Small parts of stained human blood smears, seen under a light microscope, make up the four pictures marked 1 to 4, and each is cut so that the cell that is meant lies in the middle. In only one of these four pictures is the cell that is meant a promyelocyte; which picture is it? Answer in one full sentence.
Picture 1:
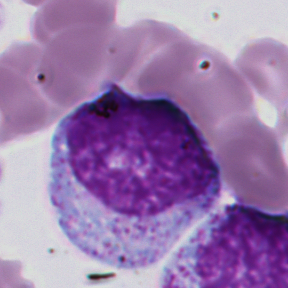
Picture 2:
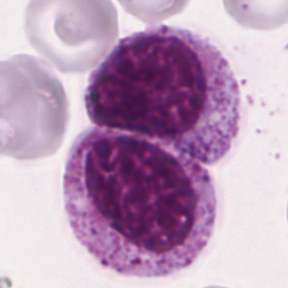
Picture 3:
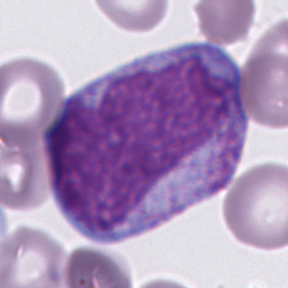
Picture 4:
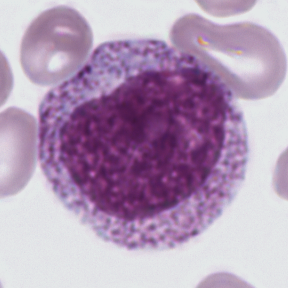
Picture 3 shows the promyelocyte.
